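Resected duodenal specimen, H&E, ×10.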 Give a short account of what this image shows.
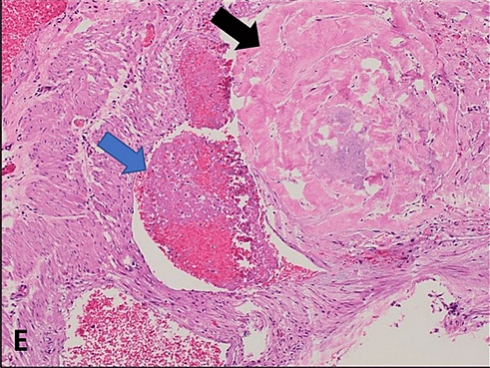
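Among pink fibromuscular walls lie vessel spaces, one filled with a dense mass of red blood cells and purplish material. Next to it is a rounded pale pink mass with concentric layers and a bluish granular centre. These are a recent thrombus and an older thrombus with early calcification.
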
